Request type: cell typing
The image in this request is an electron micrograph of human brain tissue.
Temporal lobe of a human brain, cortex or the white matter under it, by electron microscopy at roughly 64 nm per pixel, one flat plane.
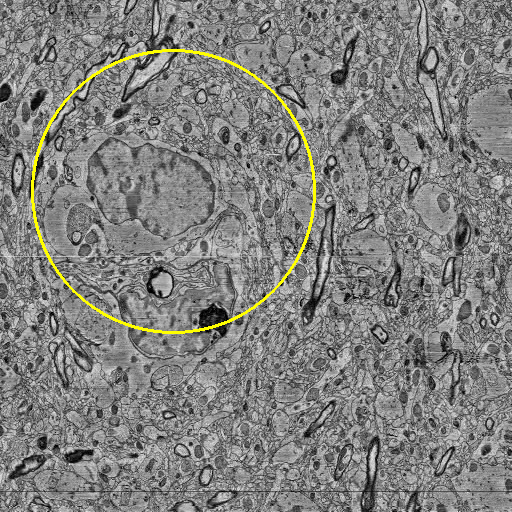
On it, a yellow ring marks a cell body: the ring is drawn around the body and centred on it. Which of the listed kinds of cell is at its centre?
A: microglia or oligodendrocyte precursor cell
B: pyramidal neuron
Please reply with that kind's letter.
A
